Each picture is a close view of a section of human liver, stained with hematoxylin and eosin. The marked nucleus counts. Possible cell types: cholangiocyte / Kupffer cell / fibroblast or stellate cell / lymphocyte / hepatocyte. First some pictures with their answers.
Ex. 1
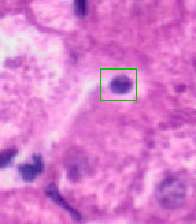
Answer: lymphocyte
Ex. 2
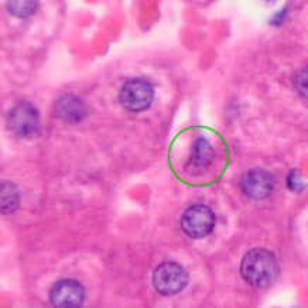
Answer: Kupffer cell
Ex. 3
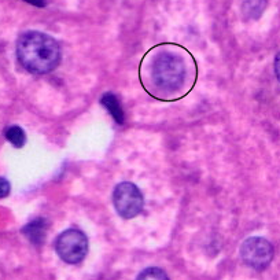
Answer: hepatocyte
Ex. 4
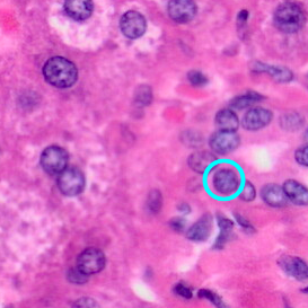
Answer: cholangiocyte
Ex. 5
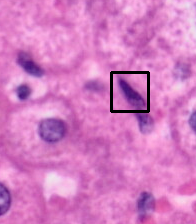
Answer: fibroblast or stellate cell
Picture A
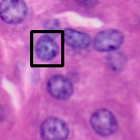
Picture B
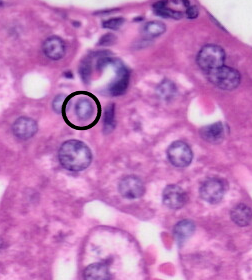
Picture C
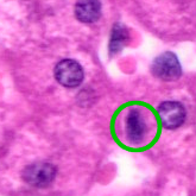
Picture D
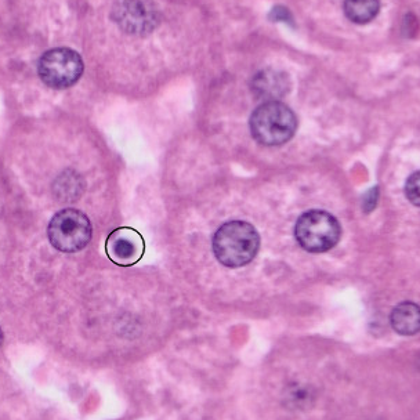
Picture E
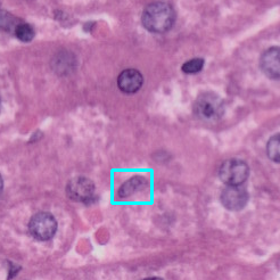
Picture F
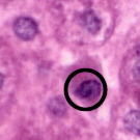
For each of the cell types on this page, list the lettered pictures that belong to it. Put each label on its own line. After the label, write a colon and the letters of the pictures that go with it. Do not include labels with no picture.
cholangiocyte: A, B
Kupffer cell: E, F
fibroblast or stellate cell: C
lymphocyte: D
